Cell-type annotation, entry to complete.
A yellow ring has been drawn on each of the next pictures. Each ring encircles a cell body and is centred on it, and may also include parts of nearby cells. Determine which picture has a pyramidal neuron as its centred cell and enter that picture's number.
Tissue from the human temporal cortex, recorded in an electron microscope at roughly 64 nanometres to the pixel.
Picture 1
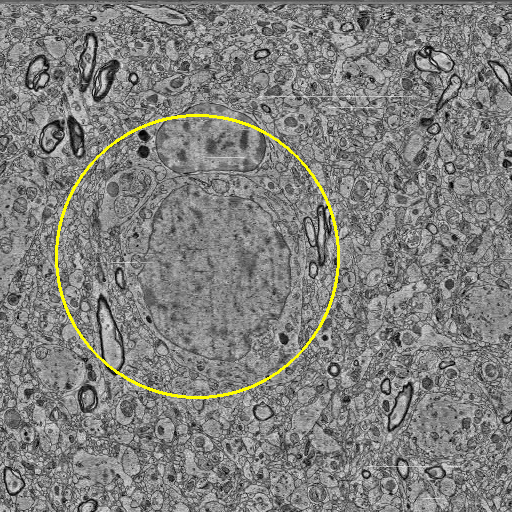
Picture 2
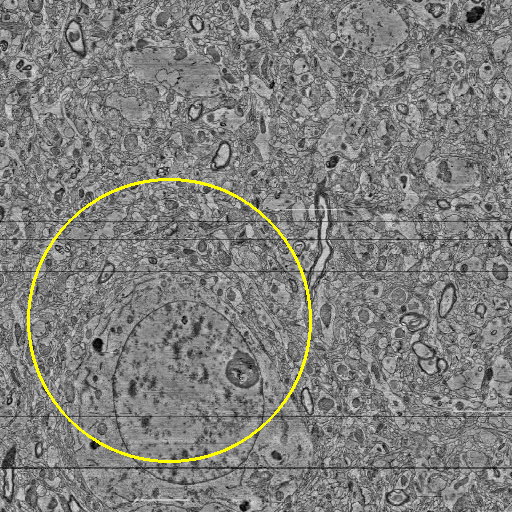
2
